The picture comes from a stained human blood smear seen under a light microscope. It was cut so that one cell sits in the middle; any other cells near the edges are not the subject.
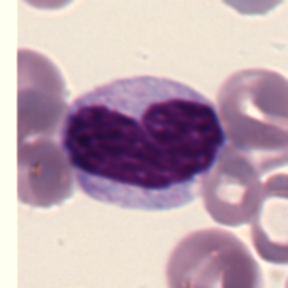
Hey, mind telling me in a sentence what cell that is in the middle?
Framed in the middle of the crop is a band neutrophil.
